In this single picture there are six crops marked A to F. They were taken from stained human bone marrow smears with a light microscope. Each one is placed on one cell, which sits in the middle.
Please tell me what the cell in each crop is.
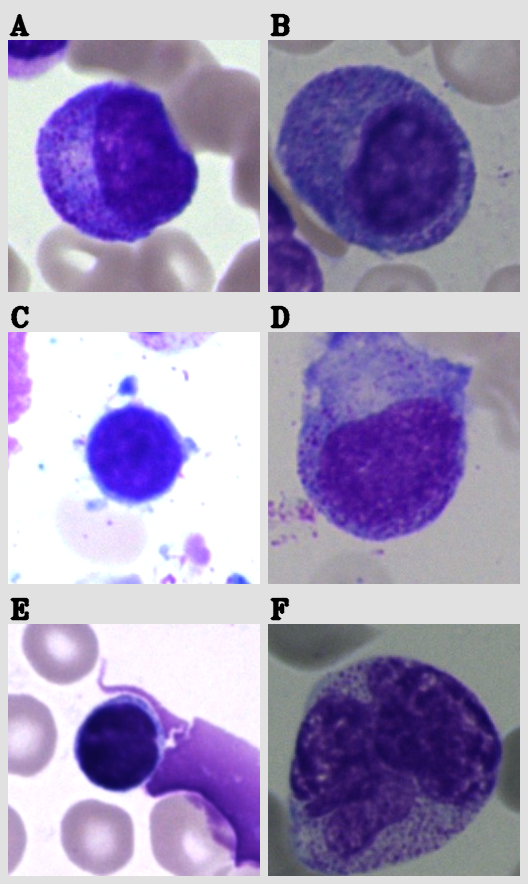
A: promyelocyte
B: promyelocyte
C: lymphocyte
D: promyelocyte
E: lymphocyte
F: monocyte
